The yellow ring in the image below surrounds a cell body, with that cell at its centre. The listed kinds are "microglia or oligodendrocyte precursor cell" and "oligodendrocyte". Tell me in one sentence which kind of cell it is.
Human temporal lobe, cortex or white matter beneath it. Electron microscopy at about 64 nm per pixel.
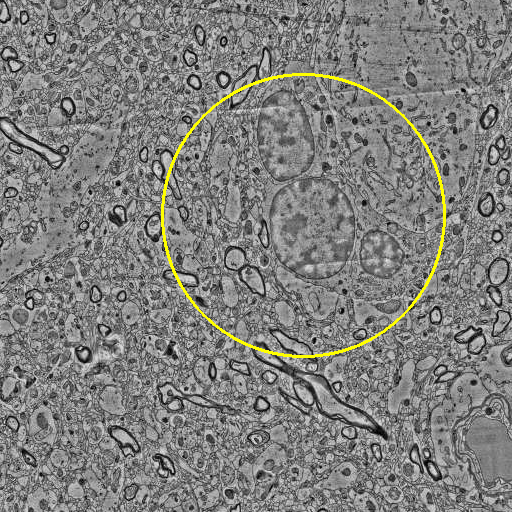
The centre of the ring holds an oligodendrocyte.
